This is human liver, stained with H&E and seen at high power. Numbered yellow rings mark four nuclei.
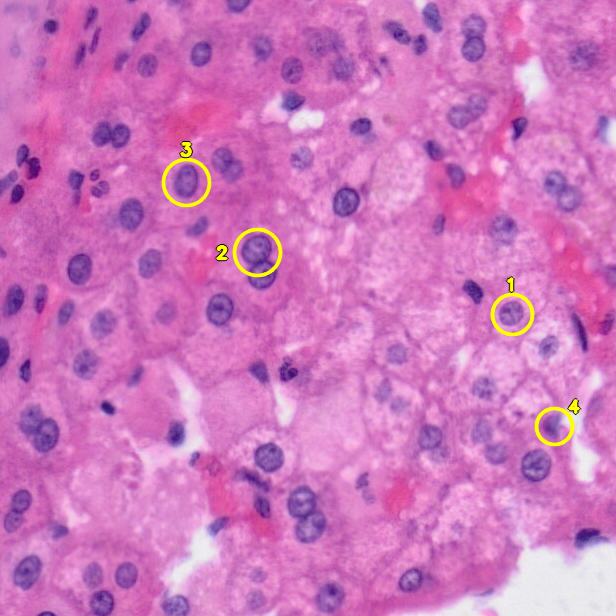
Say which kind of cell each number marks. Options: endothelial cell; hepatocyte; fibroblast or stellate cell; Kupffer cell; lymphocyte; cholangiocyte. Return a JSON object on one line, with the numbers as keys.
{"1": "hepatocyte", "2": "hepatocyte", "3": "hepatocyte", "4": "endothelial cell"}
